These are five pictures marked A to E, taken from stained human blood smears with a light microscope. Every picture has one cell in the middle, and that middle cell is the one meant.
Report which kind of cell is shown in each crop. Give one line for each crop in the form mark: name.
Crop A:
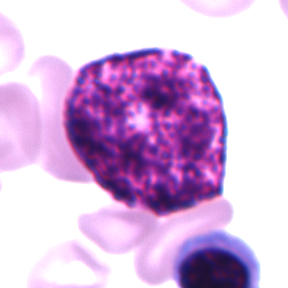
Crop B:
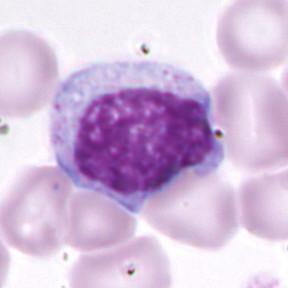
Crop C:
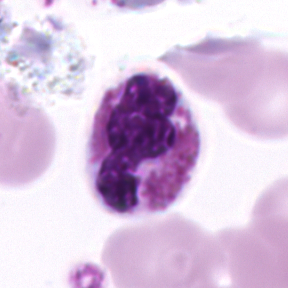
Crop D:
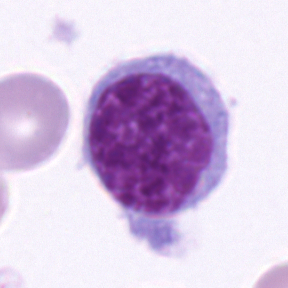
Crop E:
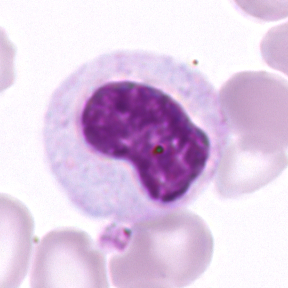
A: basophil
B: myelocyte
C: eosinophil
D: plasma cell
E: metamyelocyte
